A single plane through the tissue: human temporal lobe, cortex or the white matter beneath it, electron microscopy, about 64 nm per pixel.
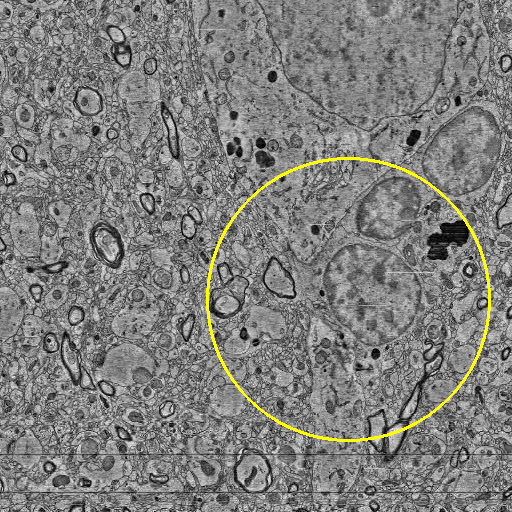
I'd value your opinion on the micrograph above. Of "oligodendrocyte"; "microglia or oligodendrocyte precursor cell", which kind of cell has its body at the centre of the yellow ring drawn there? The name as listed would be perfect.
oligodendrocyte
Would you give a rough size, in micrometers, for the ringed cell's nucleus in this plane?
In this plane, the nucleus is roughly 7 by 6 micrometres.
